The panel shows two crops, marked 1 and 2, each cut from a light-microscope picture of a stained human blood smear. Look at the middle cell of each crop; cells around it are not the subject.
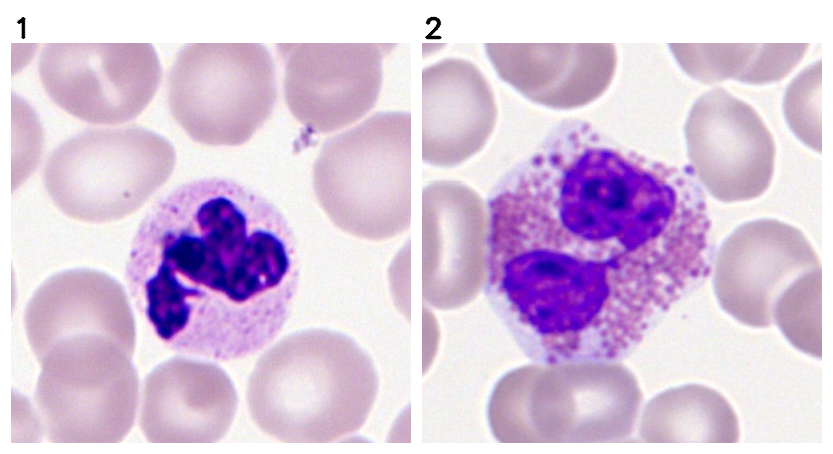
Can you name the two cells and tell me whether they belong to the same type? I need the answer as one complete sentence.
No, a segmented neutrophil is in crop 1, while an eosinophil is in crop 2.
